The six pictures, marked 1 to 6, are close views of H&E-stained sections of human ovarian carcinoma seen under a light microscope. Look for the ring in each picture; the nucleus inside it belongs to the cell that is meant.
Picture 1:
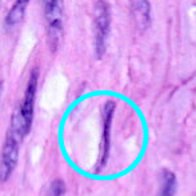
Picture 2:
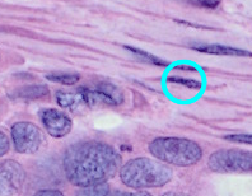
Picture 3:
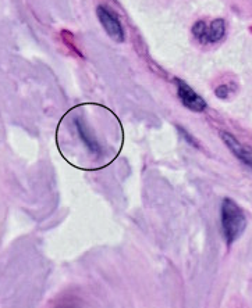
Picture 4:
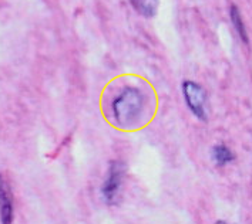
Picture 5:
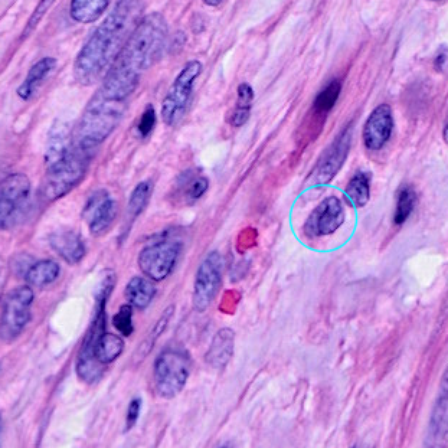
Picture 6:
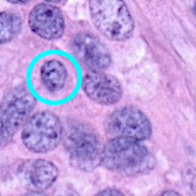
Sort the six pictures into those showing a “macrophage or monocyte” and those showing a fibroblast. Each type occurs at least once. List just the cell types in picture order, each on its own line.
fibroblast
fibroblast
fibroblast
fibroblast
macrophage or monocyte
macrophage or monocyte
